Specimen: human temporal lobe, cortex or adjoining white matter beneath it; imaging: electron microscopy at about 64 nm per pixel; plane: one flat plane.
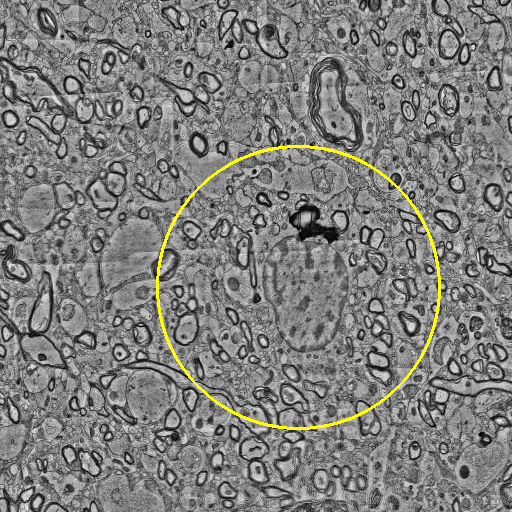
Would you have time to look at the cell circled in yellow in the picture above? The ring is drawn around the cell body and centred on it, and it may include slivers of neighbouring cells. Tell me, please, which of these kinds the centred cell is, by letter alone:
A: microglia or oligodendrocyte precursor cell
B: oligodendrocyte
B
